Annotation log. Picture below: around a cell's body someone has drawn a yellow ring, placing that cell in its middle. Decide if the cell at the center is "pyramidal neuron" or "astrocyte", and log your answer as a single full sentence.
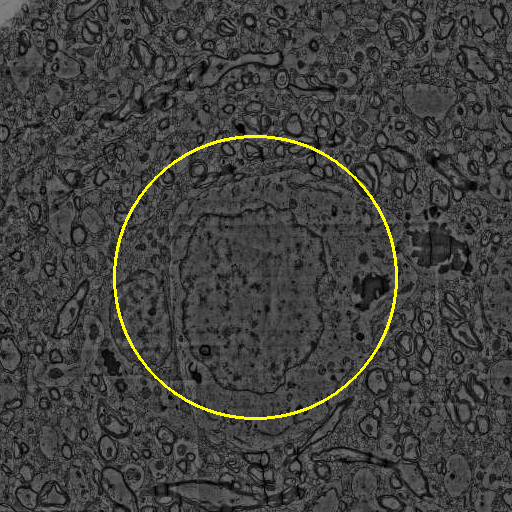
My entry records a pyramidal neuron as the cell sitting at the center of the yellow ring.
